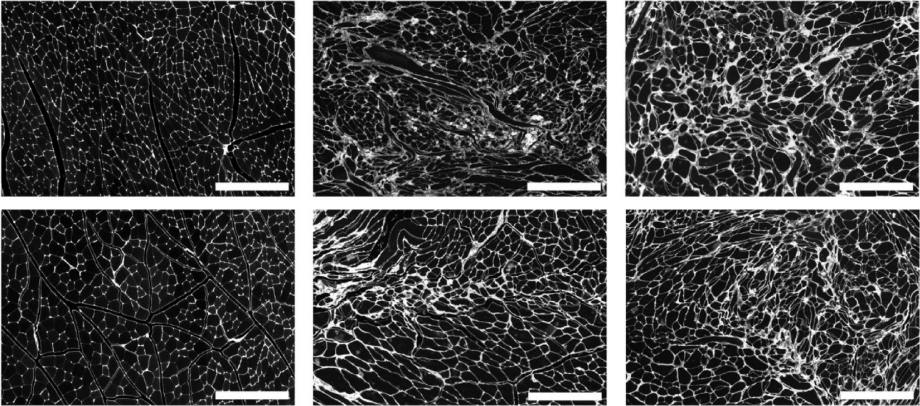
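These are cross-sections of skeletal muscle in which each muscle fiber shows as a dark profile ringed by a bright white border. In the left-hand pair the fibers are closely packed, fairly even in size and polygonal, with thin white borders. In the middle and right-hand pairs the pattern is much less orderly. Fiber profiles vary widely in size, and many are small and rounded. The white material between them is thicker and more abundant. Some areas show streaks and sheets of bright staining rather than neat rings.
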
